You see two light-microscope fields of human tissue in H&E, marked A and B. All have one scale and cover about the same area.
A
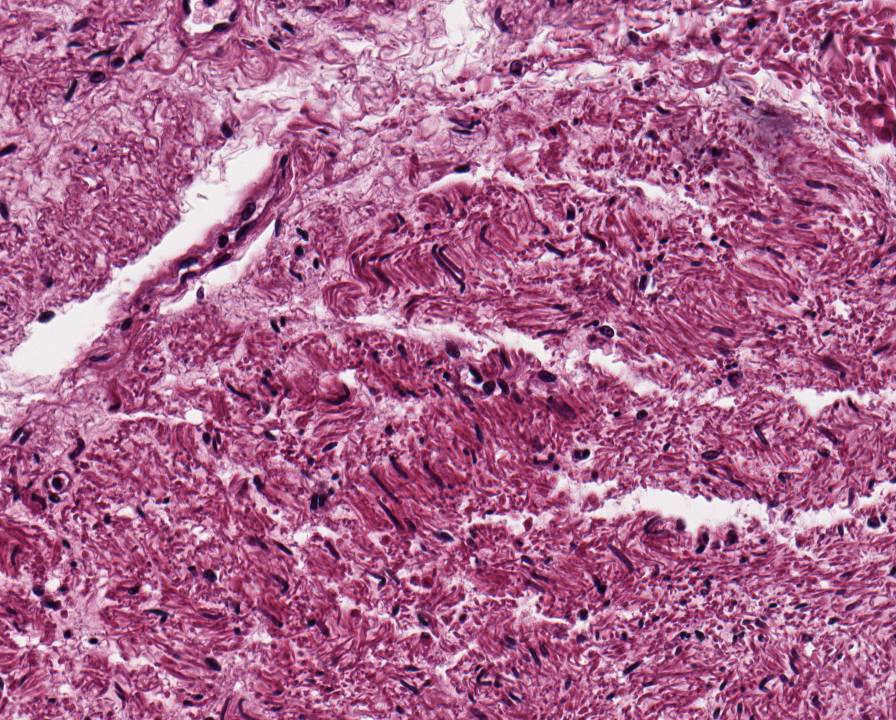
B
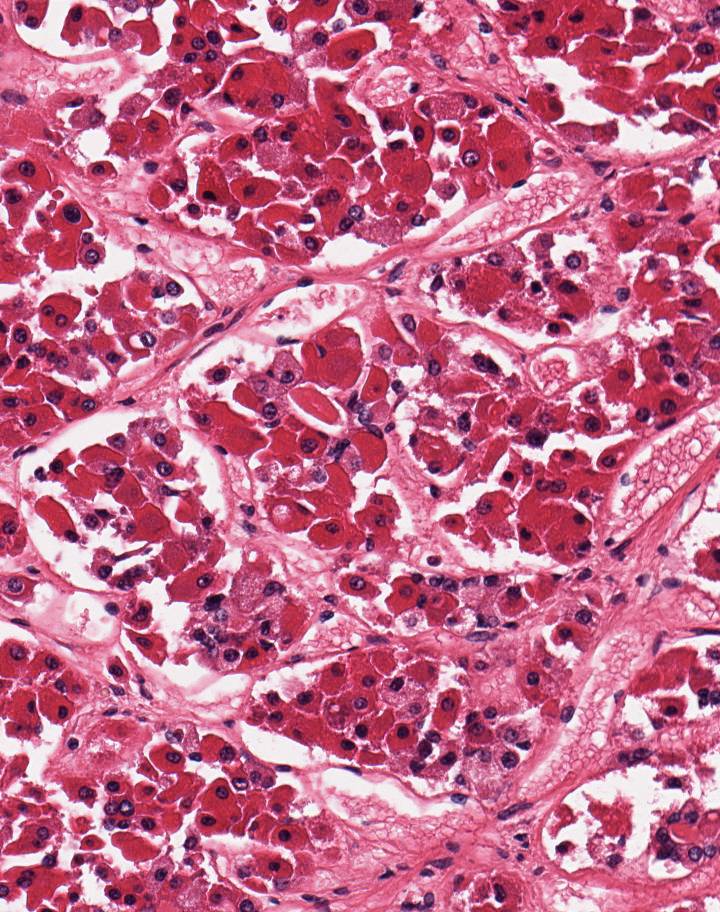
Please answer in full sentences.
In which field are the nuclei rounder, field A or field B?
The nuclei are rounder in field B.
